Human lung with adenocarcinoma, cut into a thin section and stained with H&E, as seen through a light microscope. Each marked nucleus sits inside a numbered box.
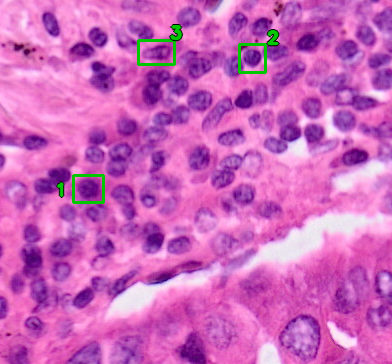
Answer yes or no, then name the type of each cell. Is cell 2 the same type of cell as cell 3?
No, cell number 2 is a lymphocyte and cell number 3 is a plasma cell.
